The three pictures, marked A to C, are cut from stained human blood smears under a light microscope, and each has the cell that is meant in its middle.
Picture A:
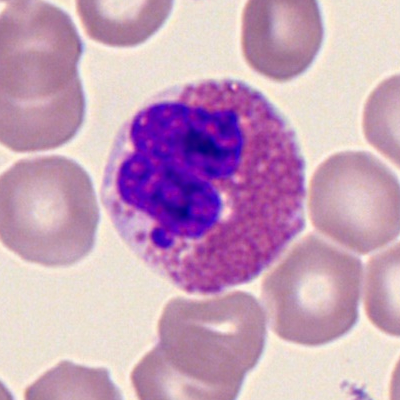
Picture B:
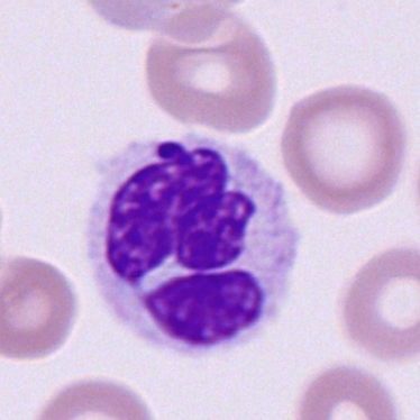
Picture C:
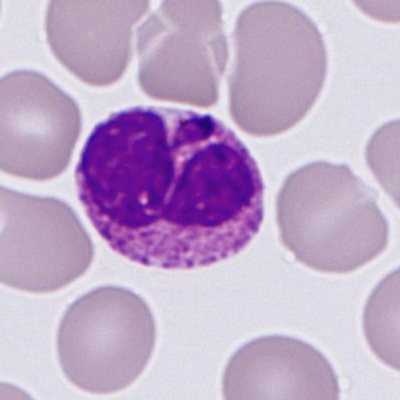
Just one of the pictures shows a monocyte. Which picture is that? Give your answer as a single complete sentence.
It is picture B that shows the monocyte.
